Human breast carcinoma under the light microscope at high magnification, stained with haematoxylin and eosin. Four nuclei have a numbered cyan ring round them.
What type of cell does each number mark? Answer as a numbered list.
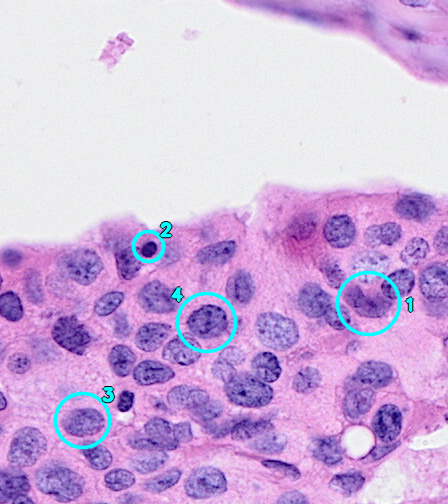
1. carcinoma cell
2. lymphocyte
3. carcinoma cell
4. carcinoma cell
